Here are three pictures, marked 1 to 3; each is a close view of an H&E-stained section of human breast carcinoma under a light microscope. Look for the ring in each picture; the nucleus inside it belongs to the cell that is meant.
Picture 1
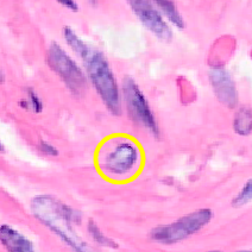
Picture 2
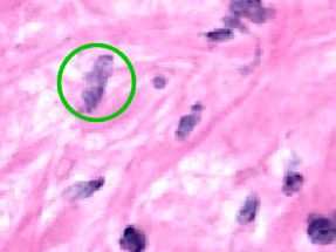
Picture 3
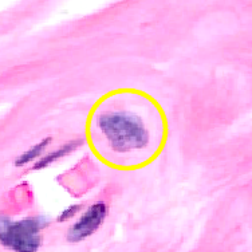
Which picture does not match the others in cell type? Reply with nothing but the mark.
2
